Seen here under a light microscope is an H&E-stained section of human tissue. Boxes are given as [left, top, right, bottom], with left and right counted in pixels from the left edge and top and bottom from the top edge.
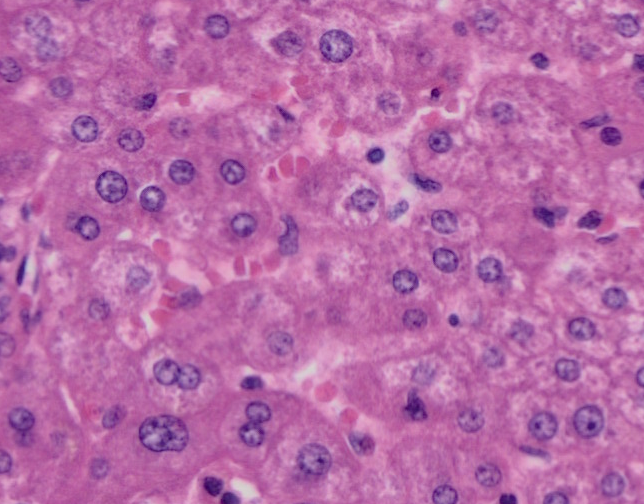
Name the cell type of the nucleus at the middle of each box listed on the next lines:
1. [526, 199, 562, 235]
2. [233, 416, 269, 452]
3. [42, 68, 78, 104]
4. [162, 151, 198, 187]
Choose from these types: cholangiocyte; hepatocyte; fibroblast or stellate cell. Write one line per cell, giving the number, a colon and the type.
1: fibroblast or stellate cell
2: hepatocyte
3: hepatocyte
4: hepatocyte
